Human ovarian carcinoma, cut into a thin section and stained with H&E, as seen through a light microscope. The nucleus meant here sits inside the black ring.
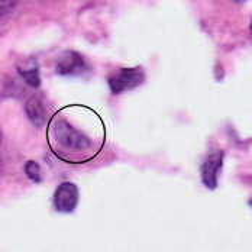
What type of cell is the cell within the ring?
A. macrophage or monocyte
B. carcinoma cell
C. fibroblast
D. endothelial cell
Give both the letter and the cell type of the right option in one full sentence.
Right answer, option A: the cell within the ring is a macrophage or monocyte.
